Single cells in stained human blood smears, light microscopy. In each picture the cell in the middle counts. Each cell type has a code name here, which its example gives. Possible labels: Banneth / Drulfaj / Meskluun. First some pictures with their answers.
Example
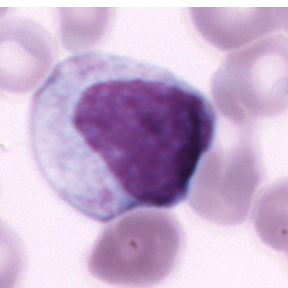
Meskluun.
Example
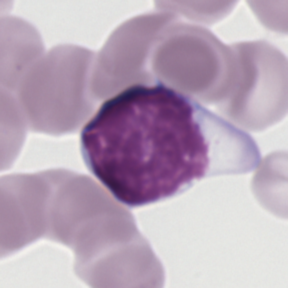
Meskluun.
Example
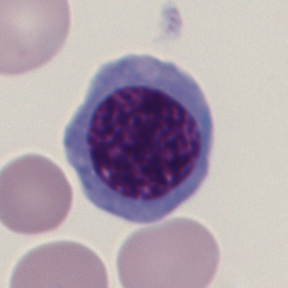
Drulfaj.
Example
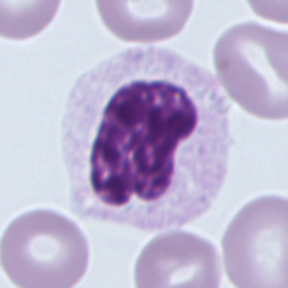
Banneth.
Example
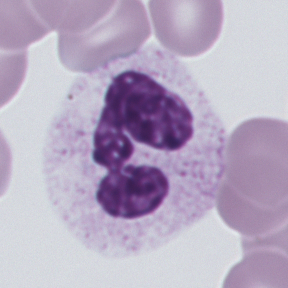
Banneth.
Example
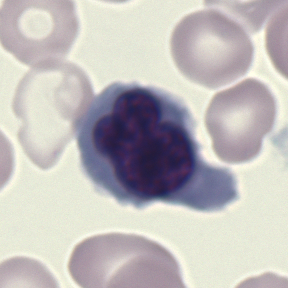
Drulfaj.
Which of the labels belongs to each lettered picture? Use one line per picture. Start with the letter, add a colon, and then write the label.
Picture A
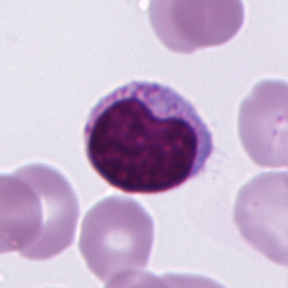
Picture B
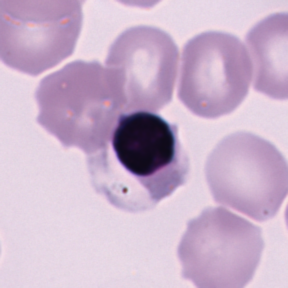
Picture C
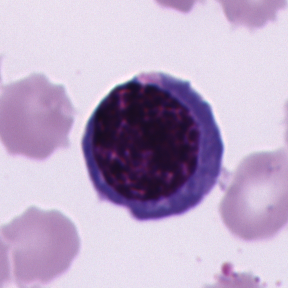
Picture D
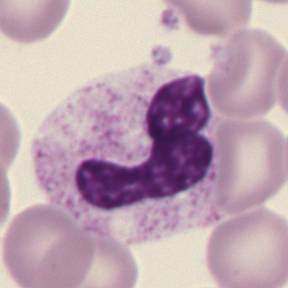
A: Meskluun.
B: Drulfaj.
C: Drulfaj.
D: Banneth.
